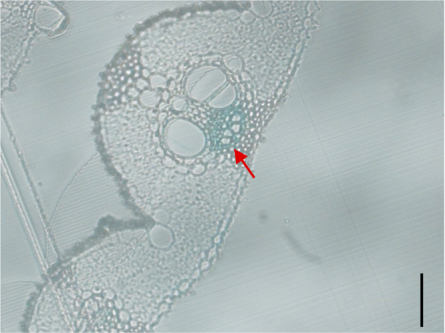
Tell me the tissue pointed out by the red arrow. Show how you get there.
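Phloem. The arrow points to a cluster of small cells inside a vascular bundle. These small cells are tinged blue-green, unlike most of the section. The cluster lies beside two large round open vessels.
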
